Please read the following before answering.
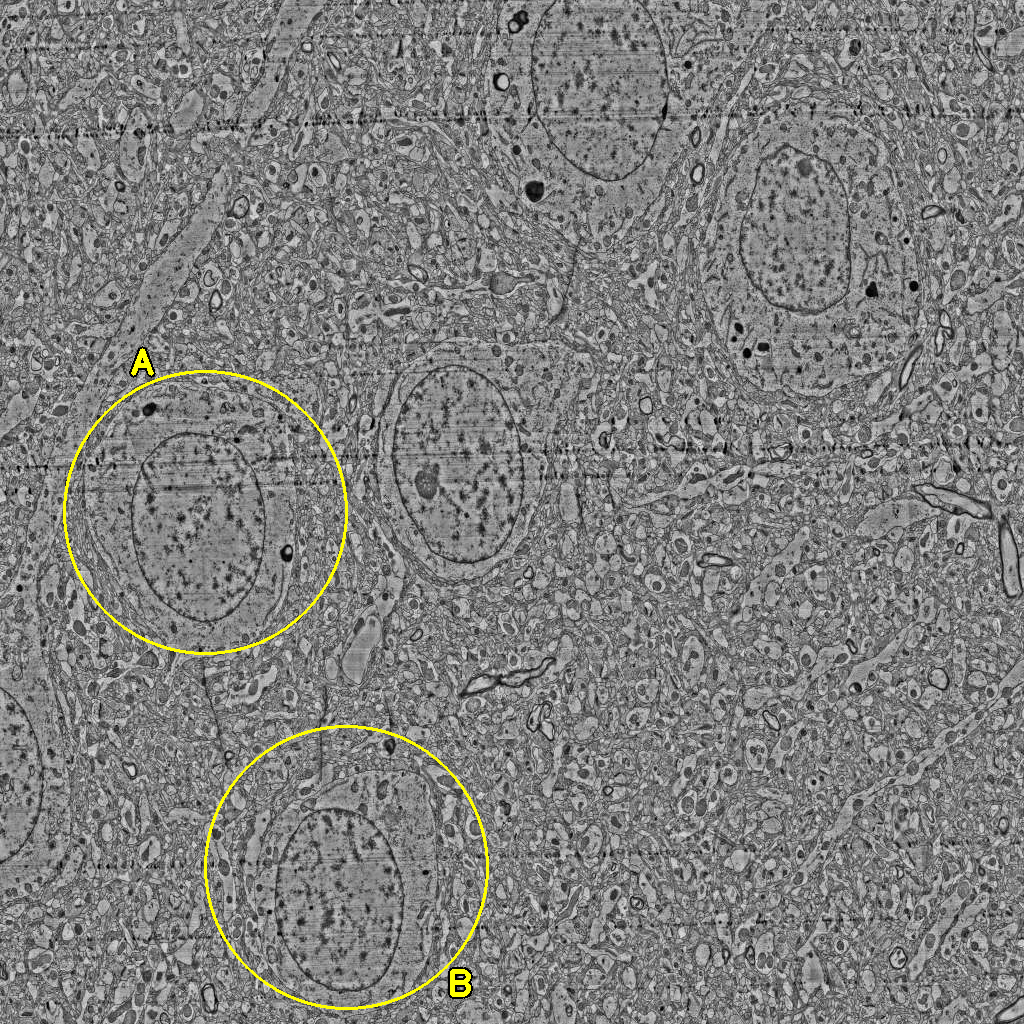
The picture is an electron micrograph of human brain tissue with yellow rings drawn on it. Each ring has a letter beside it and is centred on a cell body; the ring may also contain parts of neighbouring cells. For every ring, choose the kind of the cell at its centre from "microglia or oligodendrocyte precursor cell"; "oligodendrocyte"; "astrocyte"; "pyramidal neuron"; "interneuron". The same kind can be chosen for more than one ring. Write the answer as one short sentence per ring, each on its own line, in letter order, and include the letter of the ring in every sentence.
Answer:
The kind of cell at the centre of ring A is a pyramidal neuron.
The kind of cell at the centre of ring B is a pyramidal neuron.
